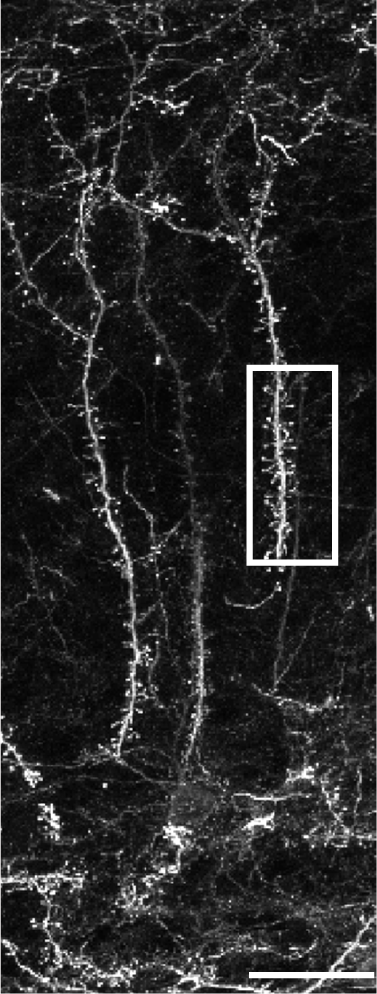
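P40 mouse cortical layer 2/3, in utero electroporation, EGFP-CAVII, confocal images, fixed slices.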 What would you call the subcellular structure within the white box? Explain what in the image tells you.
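Primary apical dendrite. The box encloses a stretch of a long vertical process. The boxed process bears many small side protrusions.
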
